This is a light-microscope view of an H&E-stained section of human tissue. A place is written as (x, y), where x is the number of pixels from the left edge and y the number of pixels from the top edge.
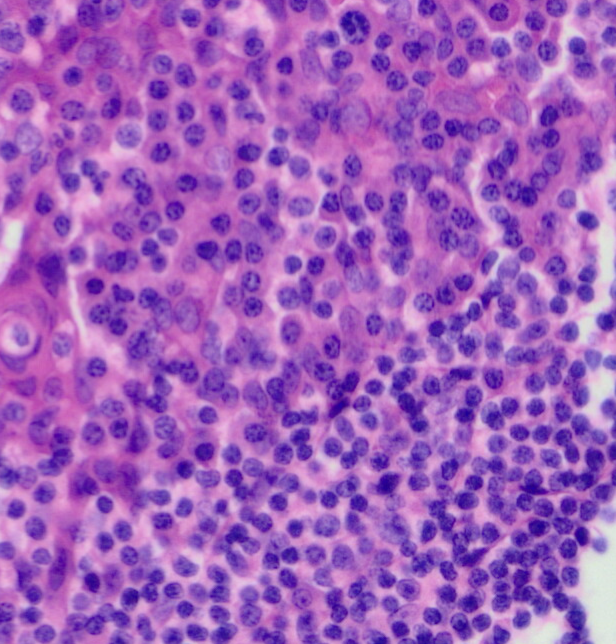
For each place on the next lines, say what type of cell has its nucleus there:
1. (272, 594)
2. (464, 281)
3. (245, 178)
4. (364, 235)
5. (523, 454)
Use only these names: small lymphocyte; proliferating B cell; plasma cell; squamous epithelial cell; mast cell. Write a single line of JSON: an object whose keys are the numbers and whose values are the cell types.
{"1": "small lymphocyte", "2": "plasma cell", "3": "plasma cell", "4": "plasma cell", "5": "small lymphocyte"}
